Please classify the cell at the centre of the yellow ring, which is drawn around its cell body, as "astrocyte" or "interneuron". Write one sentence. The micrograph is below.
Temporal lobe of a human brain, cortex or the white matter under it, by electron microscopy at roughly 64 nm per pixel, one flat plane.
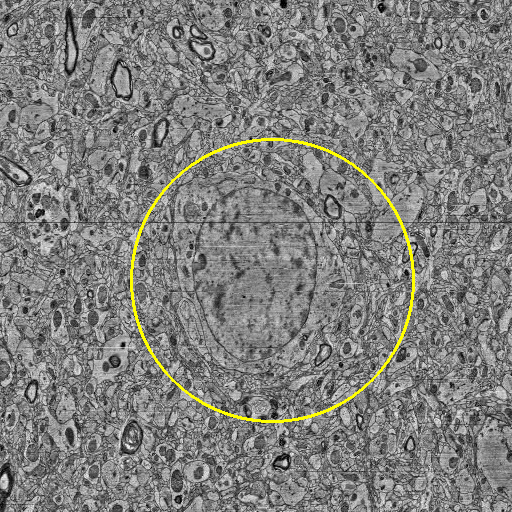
The cell at the ring's centre is classified as an interneuron.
